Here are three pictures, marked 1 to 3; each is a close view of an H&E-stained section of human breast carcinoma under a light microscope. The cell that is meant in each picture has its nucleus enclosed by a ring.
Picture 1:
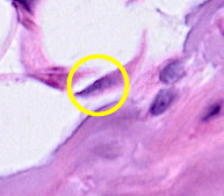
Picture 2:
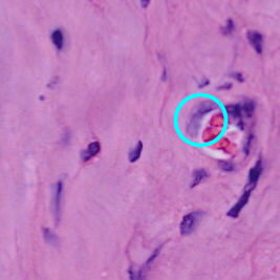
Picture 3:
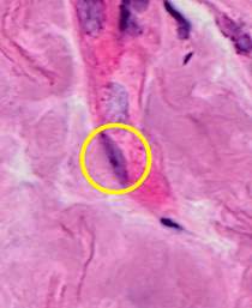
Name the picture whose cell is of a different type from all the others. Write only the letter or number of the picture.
1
